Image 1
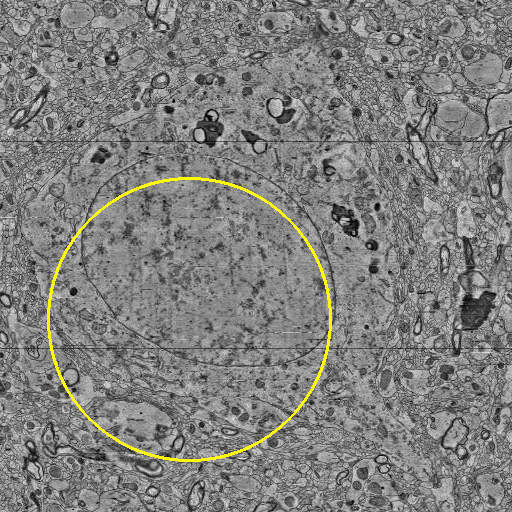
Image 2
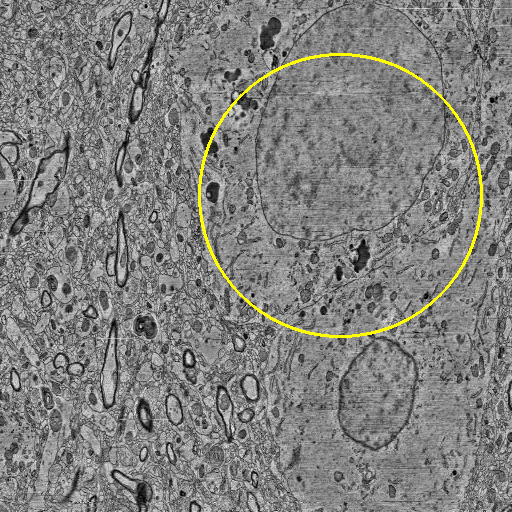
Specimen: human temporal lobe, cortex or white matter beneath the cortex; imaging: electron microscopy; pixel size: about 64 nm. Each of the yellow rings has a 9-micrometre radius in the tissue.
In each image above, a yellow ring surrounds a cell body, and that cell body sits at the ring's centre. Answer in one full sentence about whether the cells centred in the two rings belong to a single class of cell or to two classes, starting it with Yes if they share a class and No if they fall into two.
Yes, the cells centred in the two yellow rings belong to a single class of cell.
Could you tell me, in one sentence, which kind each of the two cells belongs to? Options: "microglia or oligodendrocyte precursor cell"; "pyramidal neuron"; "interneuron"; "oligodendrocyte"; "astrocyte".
In each of the two pictures, the ringed cell is a pyramidal neuron.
